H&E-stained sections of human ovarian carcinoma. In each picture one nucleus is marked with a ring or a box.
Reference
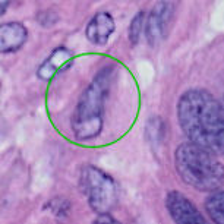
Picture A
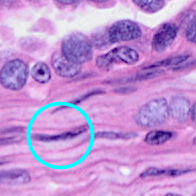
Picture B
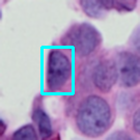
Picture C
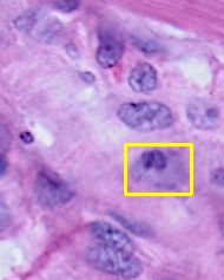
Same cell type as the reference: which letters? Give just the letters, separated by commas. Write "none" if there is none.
A, C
